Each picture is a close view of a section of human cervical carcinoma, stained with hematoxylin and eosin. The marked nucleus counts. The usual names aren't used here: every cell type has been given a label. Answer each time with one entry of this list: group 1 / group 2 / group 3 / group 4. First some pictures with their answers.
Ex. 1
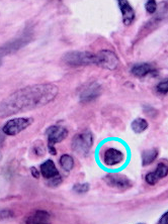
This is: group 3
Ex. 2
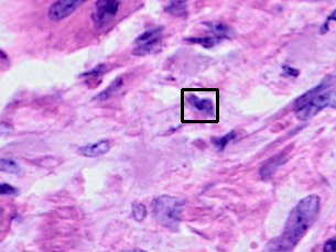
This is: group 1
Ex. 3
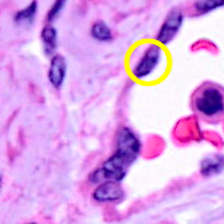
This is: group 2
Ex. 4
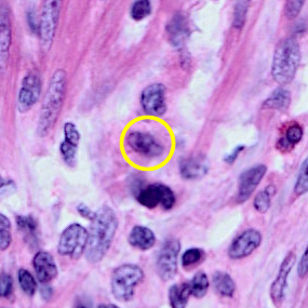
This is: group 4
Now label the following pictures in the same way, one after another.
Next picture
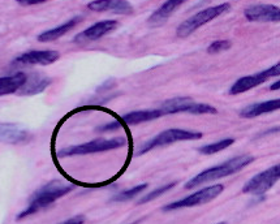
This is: group 1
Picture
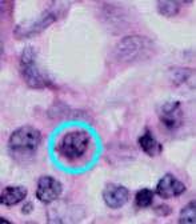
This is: group 3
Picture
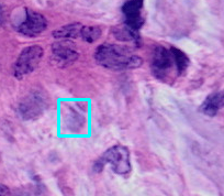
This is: group 1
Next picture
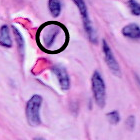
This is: group 2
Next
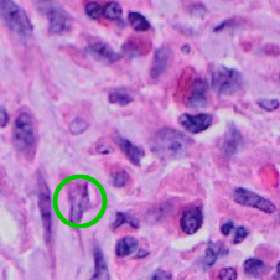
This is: group 1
